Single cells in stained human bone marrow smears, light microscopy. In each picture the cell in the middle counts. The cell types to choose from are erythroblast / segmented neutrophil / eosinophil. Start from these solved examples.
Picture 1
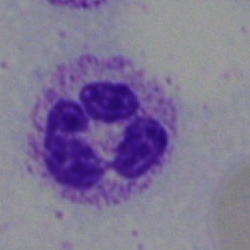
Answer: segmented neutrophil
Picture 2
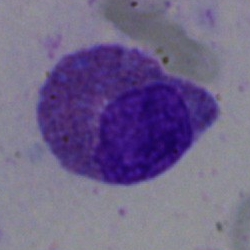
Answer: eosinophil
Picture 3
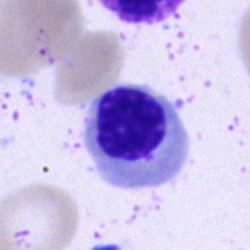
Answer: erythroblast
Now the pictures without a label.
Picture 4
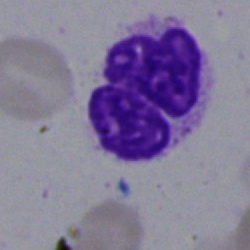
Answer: segmented neutrophil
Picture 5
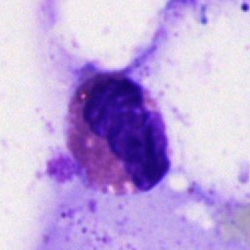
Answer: eosinophil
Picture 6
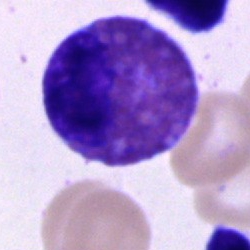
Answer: eosinophil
